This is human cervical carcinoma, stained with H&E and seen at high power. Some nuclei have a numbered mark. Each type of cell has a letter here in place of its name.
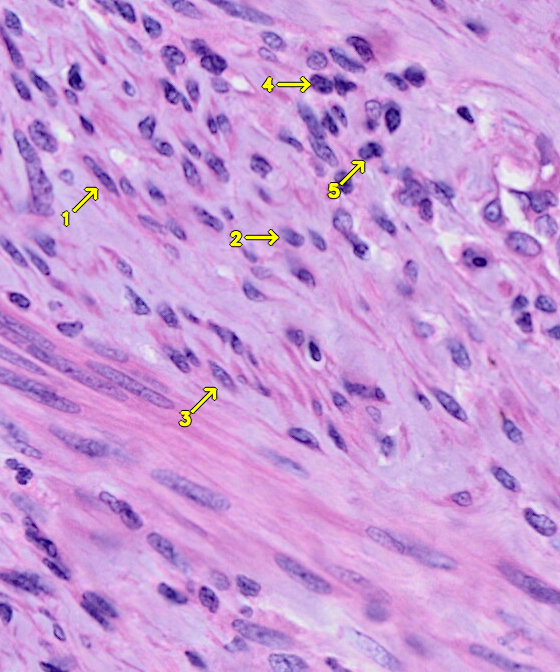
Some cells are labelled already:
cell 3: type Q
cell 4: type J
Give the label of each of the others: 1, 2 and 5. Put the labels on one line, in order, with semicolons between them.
type Q; type Q; type J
